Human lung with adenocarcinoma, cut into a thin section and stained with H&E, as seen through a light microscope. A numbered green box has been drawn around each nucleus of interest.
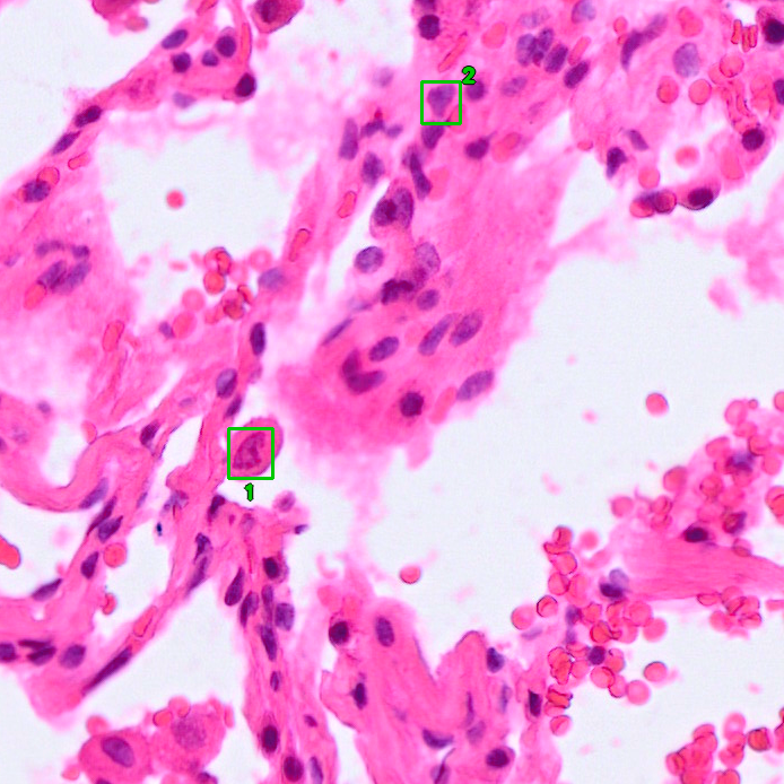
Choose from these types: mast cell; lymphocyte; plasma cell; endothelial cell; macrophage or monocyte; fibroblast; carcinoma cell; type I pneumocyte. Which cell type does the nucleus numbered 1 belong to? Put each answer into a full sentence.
Among the marked cells, number 1 is a macrophage or monocyte.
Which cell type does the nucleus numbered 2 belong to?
Regarding cell 2, this one is a type I pneumocyte.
